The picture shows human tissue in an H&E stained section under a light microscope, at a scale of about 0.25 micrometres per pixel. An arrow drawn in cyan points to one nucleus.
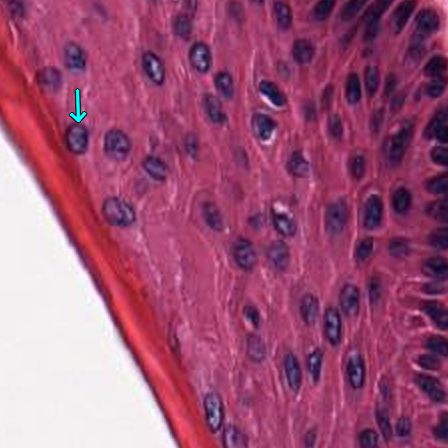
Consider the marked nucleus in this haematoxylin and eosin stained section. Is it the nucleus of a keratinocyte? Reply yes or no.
yes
